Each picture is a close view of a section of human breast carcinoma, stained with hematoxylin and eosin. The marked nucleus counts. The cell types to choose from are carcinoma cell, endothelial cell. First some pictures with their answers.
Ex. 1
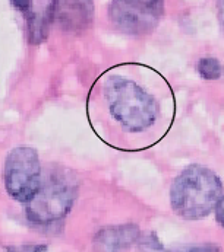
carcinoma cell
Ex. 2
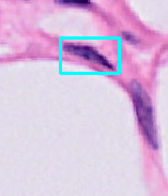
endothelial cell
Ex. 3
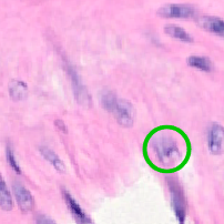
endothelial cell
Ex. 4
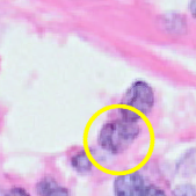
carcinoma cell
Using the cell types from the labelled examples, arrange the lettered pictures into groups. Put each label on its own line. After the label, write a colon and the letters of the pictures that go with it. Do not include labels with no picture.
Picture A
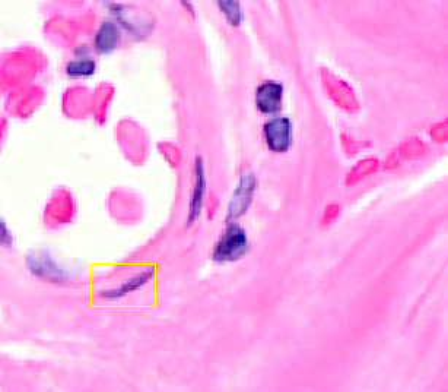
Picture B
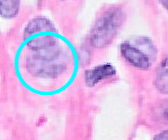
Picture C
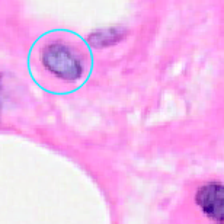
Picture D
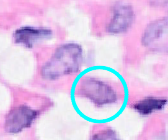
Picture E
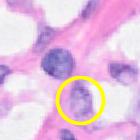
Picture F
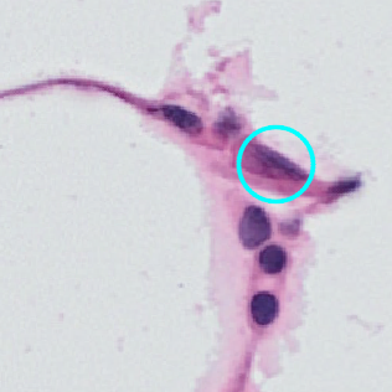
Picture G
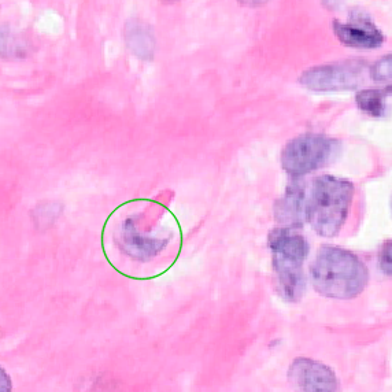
carcinoma cell: B, D, E
endothelial cell: A, C, F, G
